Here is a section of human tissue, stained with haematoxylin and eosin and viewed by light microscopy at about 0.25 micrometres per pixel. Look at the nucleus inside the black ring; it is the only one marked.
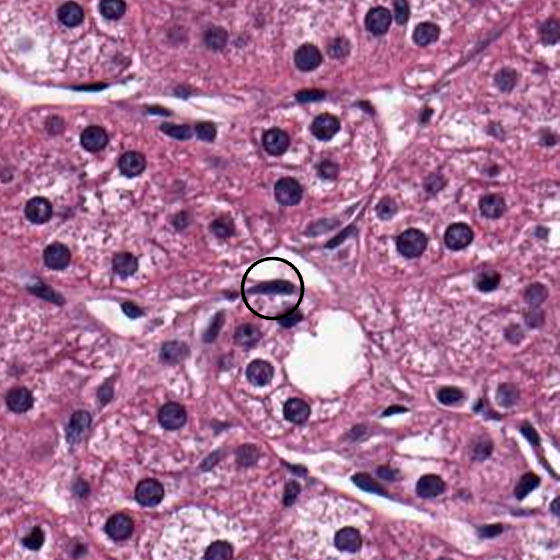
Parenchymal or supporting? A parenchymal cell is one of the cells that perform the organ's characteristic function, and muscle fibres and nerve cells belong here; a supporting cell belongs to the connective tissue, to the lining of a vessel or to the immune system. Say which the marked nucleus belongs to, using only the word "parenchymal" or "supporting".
supporting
